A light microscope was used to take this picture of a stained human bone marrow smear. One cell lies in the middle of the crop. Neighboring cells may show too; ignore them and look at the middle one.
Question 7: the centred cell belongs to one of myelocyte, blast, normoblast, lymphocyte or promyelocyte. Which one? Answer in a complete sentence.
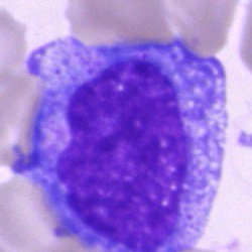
Located at the centre of the crop is a promyelocyte.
